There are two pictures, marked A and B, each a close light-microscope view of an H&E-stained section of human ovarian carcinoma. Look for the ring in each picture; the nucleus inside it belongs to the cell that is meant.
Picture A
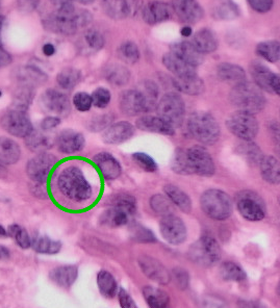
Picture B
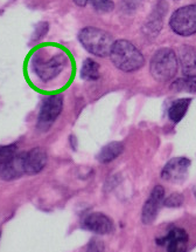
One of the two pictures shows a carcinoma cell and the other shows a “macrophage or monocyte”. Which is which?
A: carcinoma cell
B: macrophage or monocyte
